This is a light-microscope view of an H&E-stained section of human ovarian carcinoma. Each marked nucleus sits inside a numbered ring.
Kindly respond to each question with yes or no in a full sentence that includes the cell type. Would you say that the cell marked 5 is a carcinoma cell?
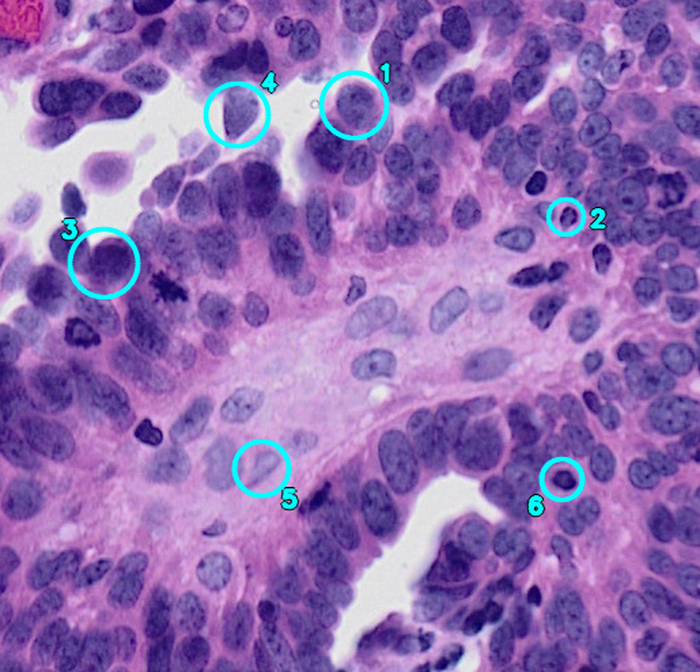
No, the cell given number 5 is a fibroblast, not a carcinoma cell.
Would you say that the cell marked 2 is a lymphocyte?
Yes, the cell given number 2 is a lymphocyte.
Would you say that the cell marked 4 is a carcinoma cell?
Yes, the marked cell numbered 4 is a carcinoma cell.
